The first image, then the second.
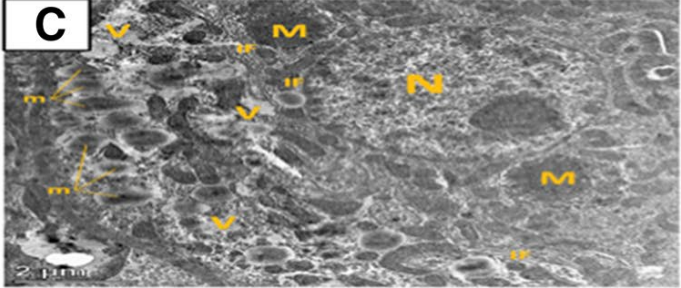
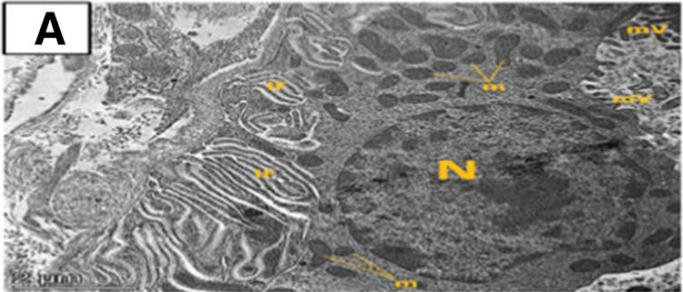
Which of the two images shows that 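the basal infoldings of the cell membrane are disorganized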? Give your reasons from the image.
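First image: membrane folds are sparse and broken up among vacuoles and irregular mitochondria. Second image: many regular, parallel membrane folds run in an orderly stack at the cell base.
Answer: the first image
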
